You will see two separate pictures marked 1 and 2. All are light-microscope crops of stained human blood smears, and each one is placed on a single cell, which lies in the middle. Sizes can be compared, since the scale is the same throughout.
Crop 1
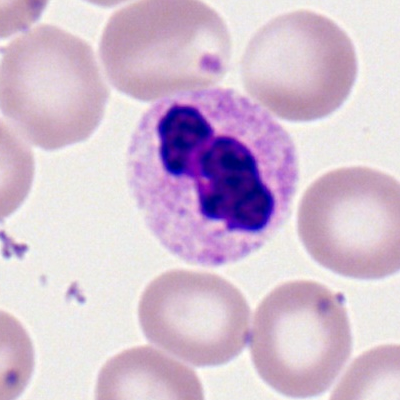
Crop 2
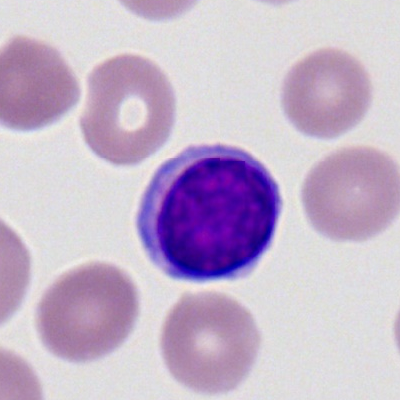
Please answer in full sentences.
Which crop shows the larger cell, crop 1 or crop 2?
The cell in crop 1 is larger, with about 1.5 times the area of the one in crop 2.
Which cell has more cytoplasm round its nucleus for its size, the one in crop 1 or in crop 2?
It is the cell in crop 1 that is filled less by its nucleus.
